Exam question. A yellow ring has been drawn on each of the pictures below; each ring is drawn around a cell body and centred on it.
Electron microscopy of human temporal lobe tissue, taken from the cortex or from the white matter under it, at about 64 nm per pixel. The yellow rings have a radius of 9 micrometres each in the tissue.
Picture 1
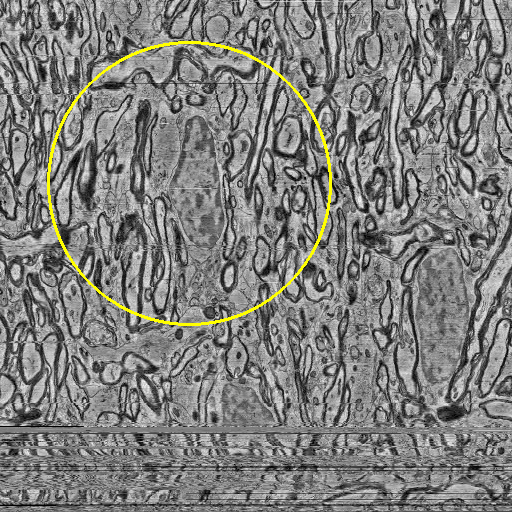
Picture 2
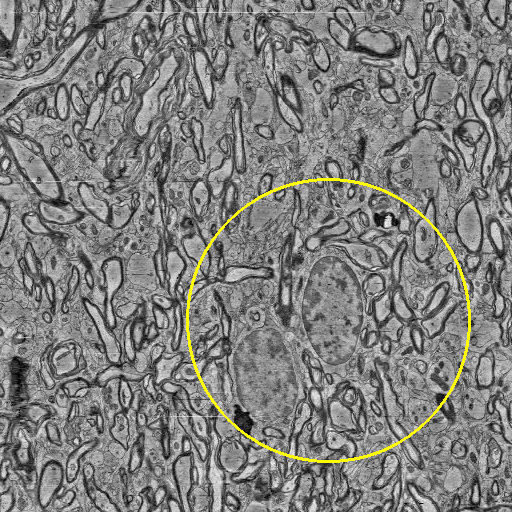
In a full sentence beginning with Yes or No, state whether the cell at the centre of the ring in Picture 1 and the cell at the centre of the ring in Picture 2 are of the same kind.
Yes, the two cells are of the same kind.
